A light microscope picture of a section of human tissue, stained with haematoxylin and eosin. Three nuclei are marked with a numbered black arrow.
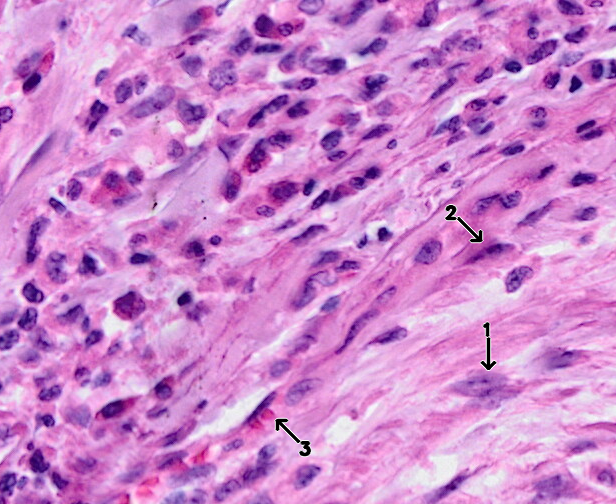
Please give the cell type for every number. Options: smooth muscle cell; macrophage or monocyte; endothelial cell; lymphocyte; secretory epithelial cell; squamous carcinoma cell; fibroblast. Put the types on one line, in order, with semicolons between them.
fibroblast; macrophage or monocyte; endothelial cell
